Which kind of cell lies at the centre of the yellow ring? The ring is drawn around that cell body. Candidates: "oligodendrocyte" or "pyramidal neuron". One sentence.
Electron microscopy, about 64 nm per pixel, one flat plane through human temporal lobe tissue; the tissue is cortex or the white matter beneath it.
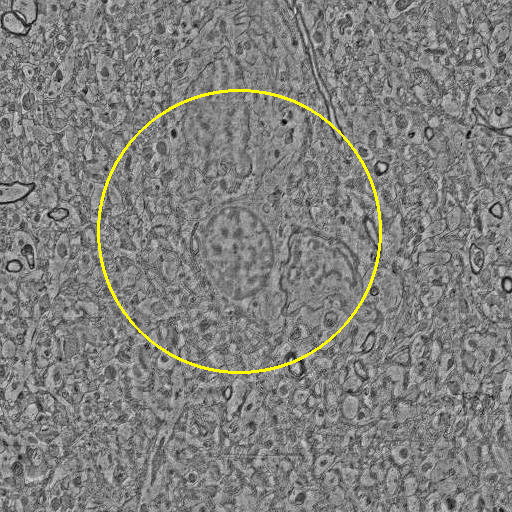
Lying at the centre of the ring is an oligodendrocyte.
